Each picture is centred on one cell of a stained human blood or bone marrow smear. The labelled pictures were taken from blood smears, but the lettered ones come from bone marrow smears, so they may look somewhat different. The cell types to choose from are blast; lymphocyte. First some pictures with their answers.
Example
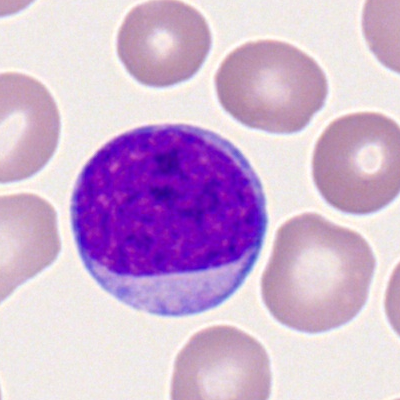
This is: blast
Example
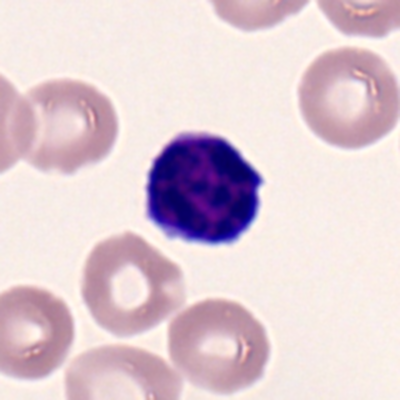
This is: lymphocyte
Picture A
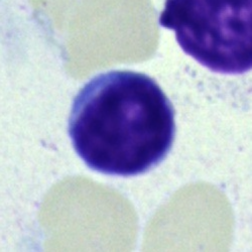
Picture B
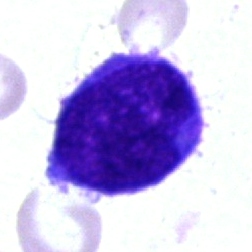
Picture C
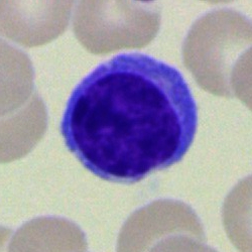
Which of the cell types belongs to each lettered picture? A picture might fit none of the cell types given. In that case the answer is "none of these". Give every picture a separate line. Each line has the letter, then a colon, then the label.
A: lymphocyte
B: blast
C: lymphocyte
